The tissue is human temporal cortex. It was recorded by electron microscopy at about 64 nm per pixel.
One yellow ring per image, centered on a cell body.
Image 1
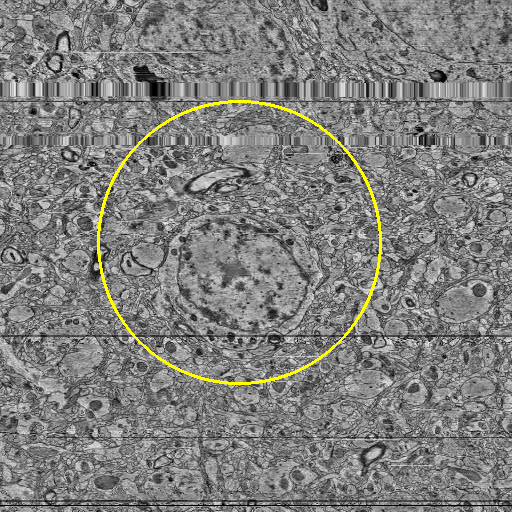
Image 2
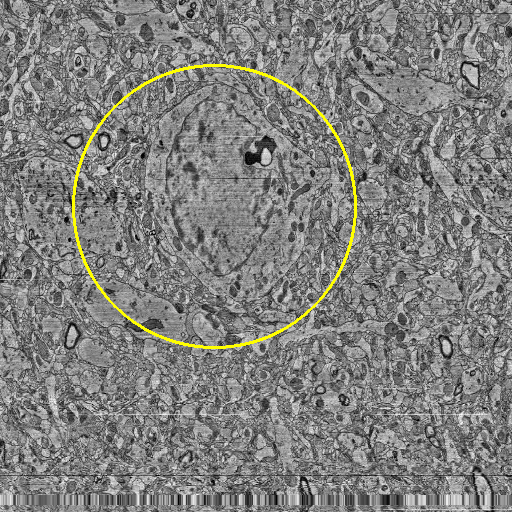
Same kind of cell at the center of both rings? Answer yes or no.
yes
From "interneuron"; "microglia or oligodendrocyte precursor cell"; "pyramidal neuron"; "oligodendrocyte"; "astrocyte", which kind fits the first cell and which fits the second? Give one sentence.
Both cells are the same kind, each one being an interneuron.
